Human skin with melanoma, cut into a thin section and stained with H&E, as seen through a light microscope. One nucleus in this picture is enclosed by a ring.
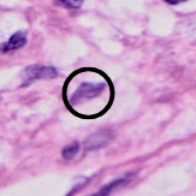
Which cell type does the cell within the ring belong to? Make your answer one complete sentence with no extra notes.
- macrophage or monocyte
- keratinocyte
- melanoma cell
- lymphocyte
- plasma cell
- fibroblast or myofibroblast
It is a fibroblast or myofibroblast that the cell within the ring represents.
